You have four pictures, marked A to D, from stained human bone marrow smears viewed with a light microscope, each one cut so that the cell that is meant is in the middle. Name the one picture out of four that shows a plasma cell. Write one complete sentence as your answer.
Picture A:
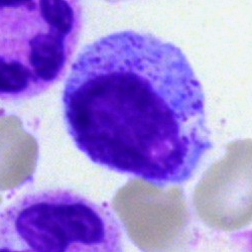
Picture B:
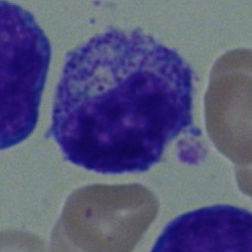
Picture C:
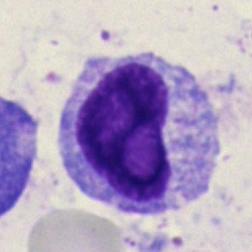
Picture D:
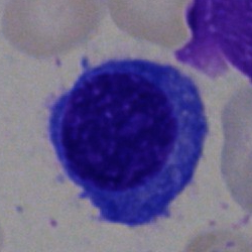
The picture with the plasma cell is D.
